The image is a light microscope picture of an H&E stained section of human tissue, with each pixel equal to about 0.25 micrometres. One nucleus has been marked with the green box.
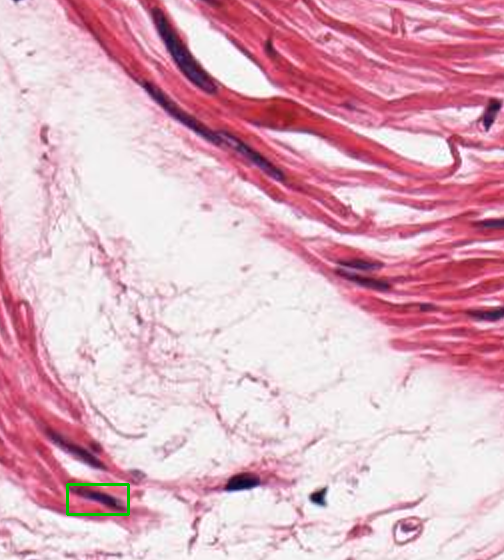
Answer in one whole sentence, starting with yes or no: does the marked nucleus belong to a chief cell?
No, the marked nucleus is not one from a chief cell.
